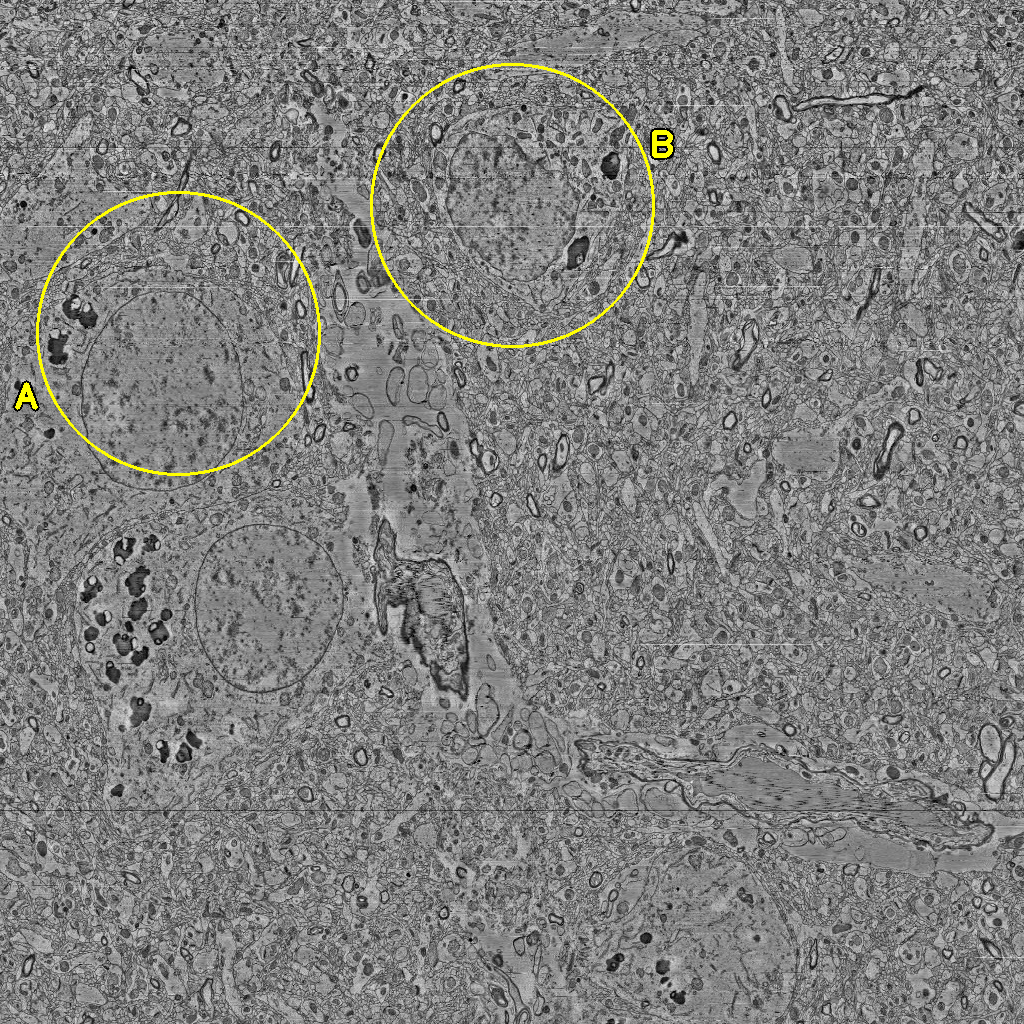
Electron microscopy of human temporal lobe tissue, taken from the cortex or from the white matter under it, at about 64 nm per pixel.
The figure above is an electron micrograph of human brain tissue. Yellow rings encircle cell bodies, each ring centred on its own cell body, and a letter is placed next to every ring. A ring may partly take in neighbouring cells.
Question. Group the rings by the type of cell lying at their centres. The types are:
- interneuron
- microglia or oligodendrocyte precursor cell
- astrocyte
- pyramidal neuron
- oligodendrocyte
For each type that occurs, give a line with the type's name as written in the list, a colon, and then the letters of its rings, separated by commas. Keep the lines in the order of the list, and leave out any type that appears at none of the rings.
interneuron: B
pyramidal neuron: A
